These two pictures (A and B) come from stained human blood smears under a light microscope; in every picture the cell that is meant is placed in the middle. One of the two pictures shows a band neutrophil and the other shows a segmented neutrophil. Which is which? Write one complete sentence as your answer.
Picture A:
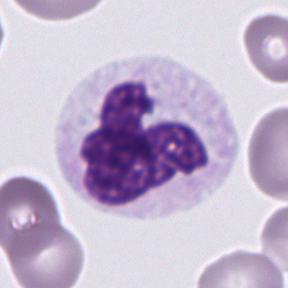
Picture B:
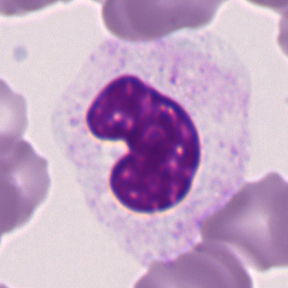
The cell in picture A is a segmented neutrophil, and the one in picture B is a band neutrophil.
